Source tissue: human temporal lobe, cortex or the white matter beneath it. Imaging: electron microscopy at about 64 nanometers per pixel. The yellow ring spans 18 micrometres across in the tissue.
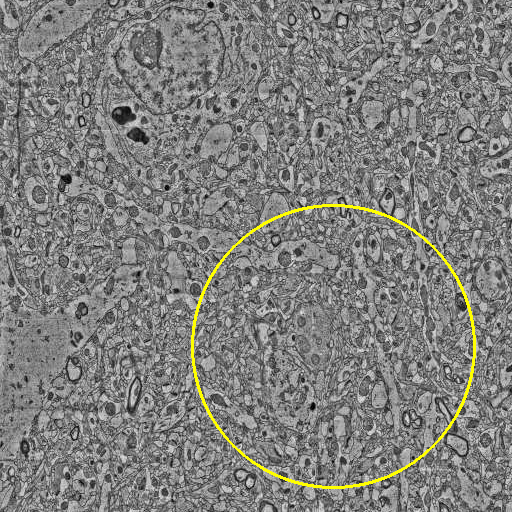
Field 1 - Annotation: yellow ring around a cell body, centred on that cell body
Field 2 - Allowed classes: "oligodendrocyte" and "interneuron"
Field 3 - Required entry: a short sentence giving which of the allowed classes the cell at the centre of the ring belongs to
The centred cell is an oligodendrocyte.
